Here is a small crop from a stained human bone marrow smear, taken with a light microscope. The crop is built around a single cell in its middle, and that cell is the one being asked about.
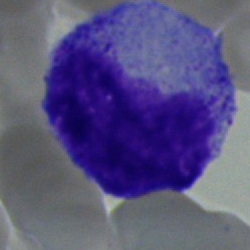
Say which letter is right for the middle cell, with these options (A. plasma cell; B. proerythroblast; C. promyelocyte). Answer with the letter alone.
C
